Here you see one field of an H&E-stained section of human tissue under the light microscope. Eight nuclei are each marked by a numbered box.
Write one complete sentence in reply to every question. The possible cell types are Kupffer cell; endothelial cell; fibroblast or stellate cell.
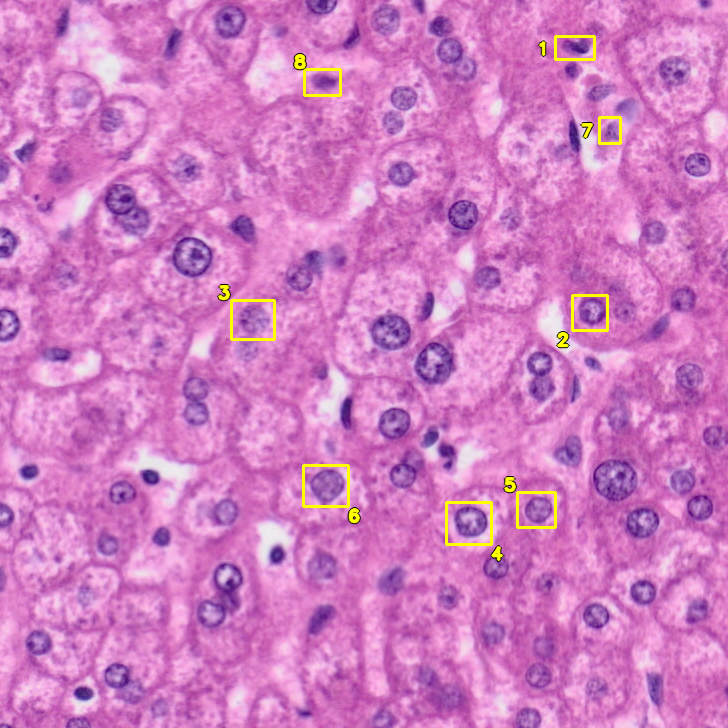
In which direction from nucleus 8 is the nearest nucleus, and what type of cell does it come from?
The nearest nucleus is that of a fibroblast or stellate cell and lies above and to the right of nucleus 8.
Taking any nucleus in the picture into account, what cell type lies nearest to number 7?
The nearest nucleus to number 7 belongs to an endothelial cell.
